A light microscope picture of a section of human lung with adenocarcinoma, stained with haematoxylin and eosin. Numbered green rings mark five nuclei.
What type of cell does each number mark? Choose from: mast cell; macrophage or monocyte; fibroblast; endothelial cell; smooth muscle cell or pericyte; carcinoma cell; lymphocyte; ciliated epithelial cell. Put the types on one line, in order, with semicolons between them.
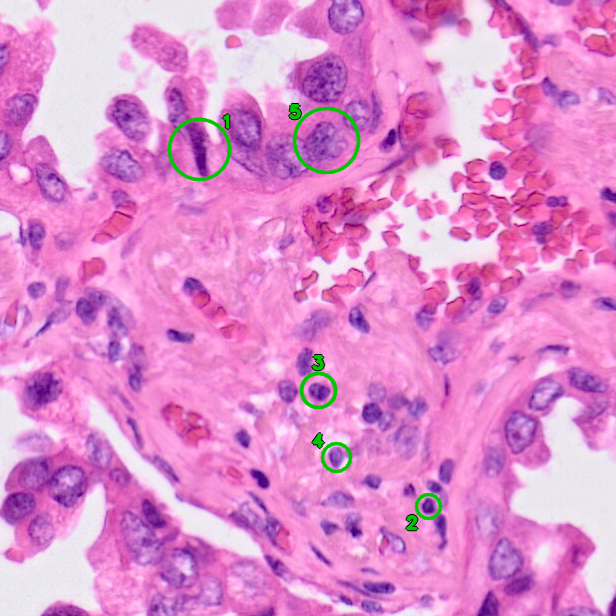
carcinoma cell; lymphocyte; lymphocyte; lymphocyte; carcinoma cell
